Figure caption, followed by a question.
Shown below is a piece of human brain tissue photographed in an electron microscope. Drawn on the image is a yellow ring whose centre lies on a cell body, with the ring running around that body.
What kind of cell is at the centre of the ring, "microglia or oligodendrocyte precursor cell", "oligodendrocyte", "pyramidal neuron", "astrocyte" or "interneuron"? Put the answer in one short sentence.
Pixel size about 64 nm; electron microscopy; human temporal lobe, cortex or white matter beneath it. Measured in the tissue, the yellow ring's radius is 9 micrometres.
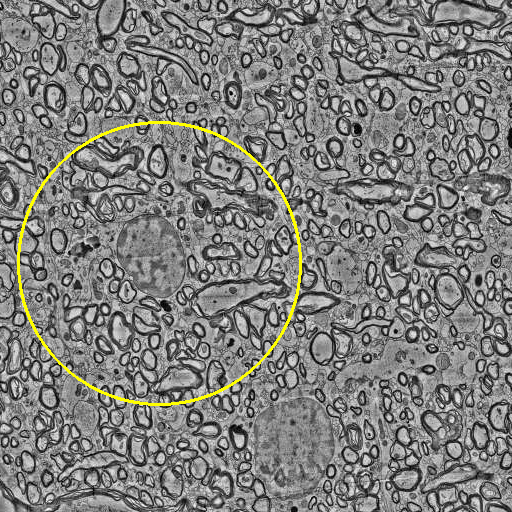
The ring marks the cell body of a microglial cell or oligodendrocyte precursor cell.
